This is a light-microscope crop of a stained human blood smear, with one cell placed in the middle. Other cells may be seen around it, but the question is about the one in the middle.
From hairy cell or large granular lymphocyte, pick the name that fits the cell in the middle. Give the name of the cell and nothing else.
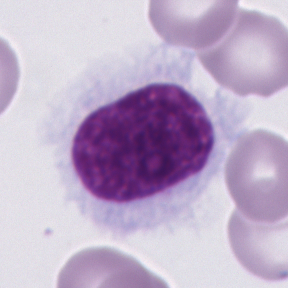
hairy cell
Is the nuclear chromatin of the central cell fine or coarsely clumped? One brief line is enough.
What stands out is fine chromatin lacking any coarse clumps.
